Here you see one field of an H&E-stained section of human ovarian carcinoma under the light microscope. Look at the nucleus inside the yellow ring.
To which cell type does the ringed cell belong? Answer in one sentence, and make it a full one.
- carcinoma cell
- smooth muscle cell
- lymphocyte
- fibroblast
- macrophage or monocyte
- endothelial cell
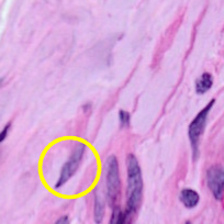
What the ringed cell represents is a smooth muscle cell.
